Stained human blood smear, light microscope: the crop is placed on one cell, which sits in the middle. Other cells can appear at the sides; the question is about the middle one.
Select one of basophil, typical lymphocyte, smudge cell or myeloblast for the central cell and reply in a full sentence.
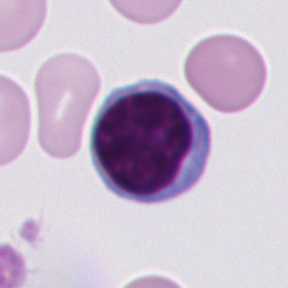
As for the central cell, it is a typical lymphocyte.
